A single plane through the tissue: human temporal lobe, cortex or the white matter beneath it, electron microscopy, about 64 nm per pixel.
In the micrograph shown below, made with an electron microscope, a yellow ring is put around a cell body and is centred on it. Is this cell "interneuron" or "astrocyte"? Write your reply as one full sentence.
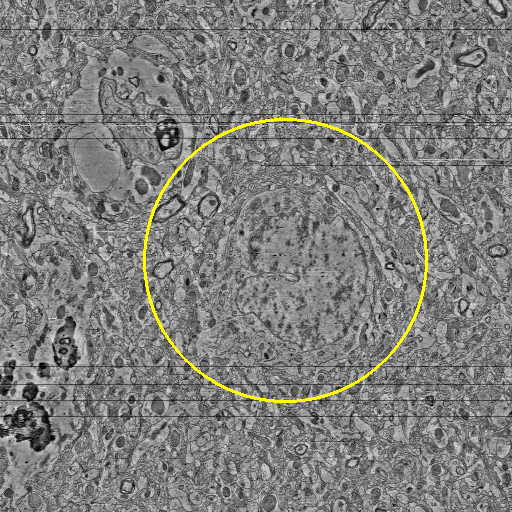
In the micrograph, an interneuron is the cell at the centre of the yellow ring.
